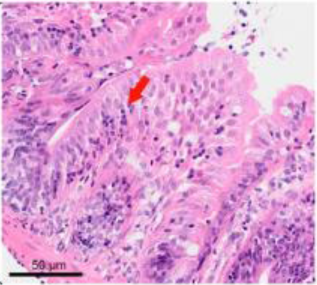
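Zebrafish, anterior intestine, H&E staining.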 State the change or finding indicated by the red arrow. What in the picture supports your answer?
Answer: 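Mucosal inflammatory cell infiltration. Many small, dark, closely packed nuclei crowd the mucosa at the arrow. The fold's lamina propria is expanded and cell-dense.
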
